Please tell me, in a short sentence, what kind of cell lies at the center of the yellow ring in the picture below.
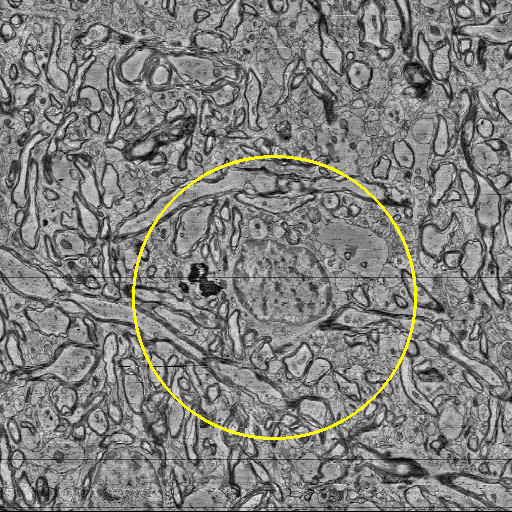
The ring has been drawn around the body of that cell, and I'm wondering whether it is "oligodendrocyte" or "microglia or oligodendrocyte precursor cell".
The cell at the center of the ring is an oligodendrocyte.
